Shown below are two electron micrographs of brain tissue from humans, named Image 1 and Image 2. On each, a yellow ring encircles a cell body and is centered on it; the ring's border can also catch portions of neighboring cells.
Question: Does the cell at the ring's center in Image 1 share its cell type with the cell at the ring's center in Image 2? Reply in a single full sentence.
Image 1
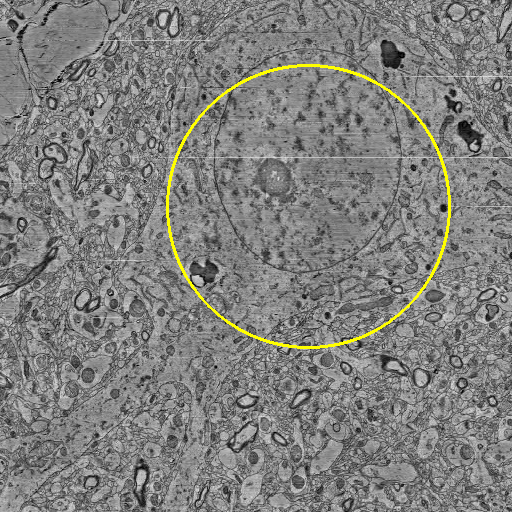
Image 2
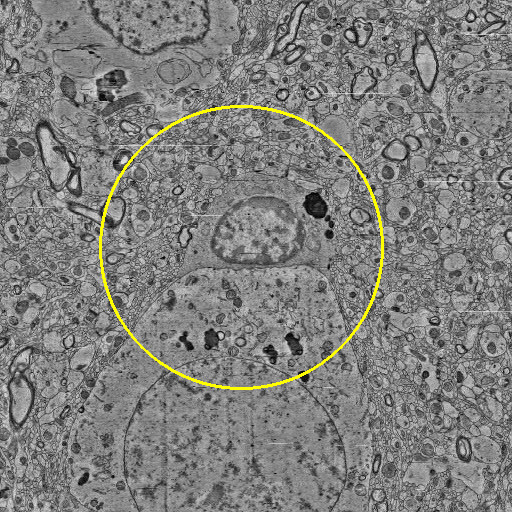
No, the two cells at the ring centers, in Image 1 and Image 2, are of two cell types.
